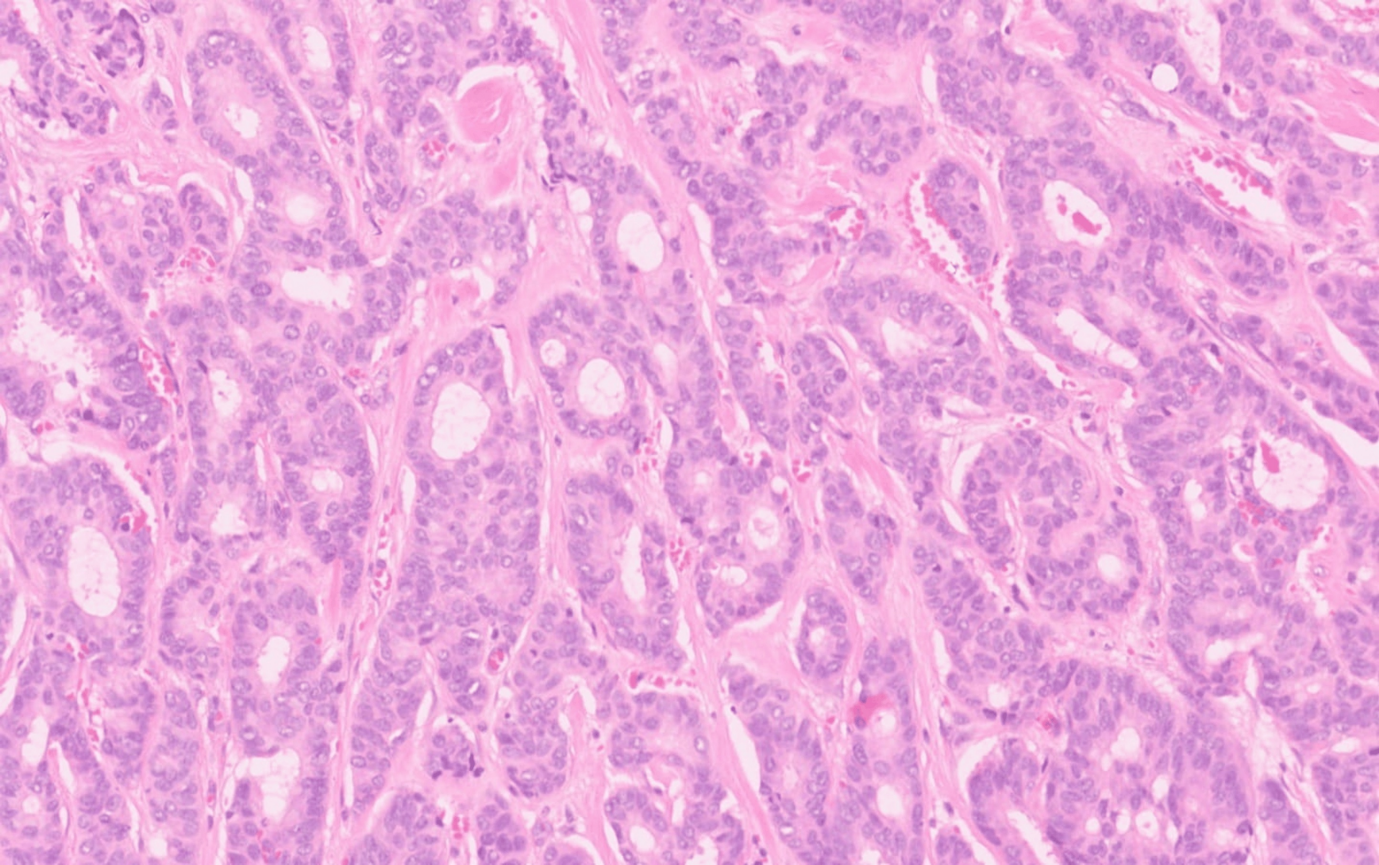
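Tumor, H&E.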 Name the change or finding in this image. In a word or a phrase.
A: tubuloglandular morphology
